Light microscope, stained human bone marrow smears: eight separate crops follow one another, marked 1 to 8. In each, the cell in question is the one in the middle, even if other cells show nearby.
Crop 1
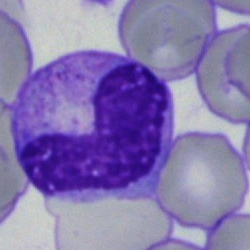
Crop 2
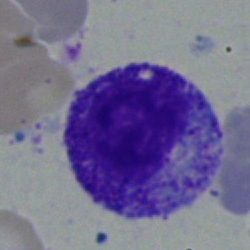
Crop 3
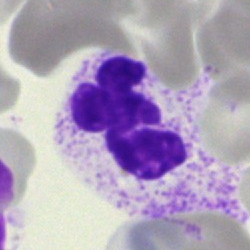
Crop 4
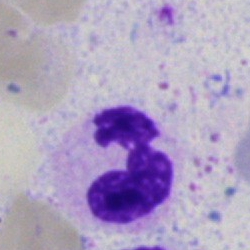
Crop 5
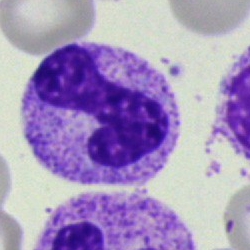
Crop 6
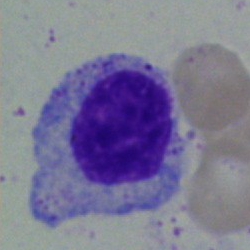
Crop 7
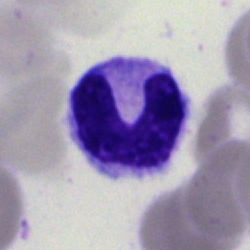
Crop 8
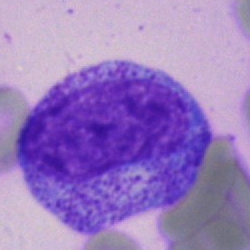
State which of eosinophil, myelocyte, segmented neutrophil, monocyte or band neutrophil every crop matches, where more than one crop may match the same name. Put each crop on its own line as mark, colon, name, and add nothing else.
1: band neutrophil
2: myelocyte
3: segmented neutrophil
4: segmented neutrophil
5: band neutrophil
6: myelocyte
7: band neutrophil
8: myelocyte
